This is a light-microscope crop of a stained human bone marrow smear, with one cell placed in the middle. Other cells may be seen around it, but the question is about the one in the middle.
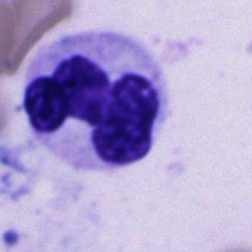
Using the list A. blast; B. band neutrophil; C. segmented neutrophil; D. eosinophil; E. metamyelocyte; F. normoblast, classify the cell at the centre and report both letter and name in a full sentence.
Given that the cell in the middle is a segmented neutrophil, option C is correct.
